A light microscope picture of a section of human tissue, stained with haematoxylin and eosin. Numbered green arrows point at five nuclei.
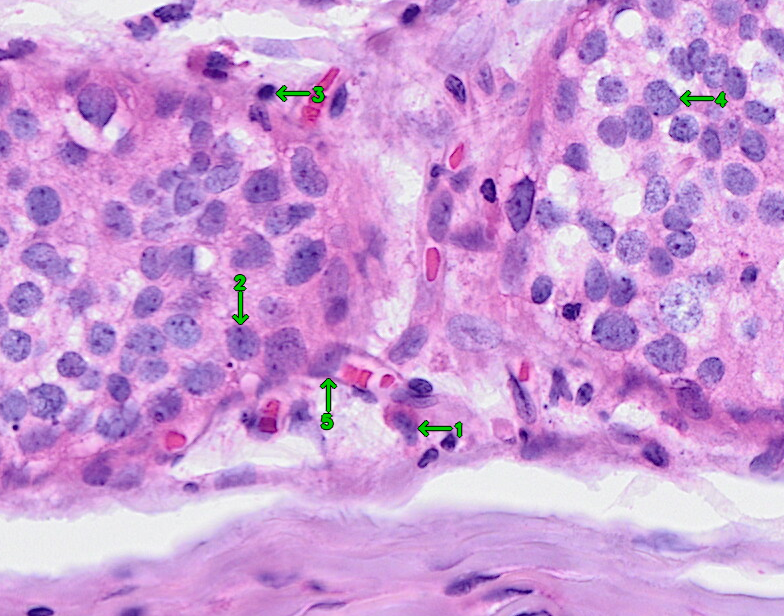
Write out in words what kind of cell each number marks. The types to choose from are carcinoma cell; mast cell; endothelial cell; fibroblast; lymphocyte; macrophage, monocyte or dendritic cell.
Cell 1 is a mast cell. Cells 2 and 4 are carcinoma cells. Cell 3 is a lymphocyte. Cell 5 is an endothelial cell.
